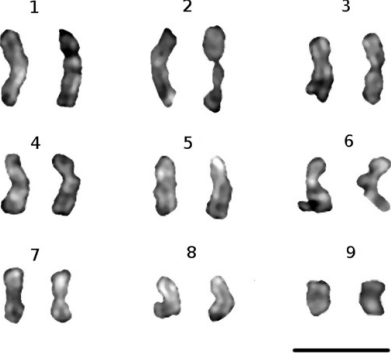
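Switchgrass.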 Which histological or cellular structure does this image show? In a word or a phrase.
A: Karyogram.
